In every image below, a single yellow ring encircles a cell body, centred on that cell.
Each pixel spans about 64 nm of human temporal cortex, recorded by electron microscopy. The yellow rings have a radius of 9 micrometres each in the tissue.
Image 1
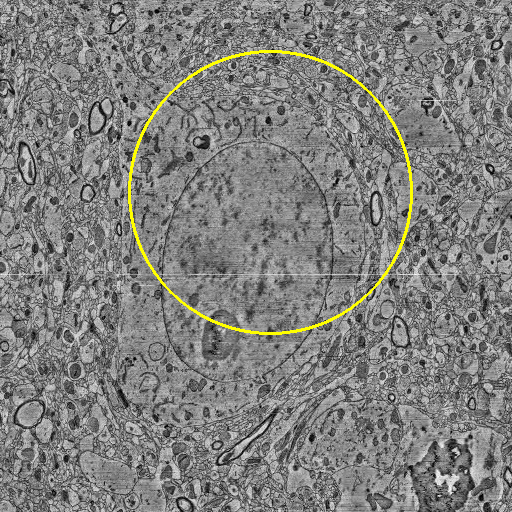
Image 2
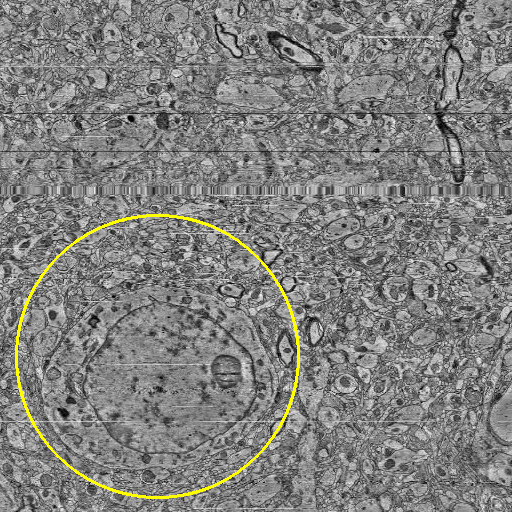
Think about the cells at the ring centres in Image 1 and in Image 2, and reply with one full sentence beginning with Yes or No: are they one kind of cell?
Yes, the cells centred in the rings of Image 1 and Image 2 are one kind of cell.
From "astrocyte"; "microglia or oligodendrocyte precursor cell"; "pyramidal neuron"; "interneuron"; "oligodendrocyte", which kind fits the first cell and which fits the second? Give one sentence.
Each cell, in the first picture and the second, is a pyramidal neuron.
